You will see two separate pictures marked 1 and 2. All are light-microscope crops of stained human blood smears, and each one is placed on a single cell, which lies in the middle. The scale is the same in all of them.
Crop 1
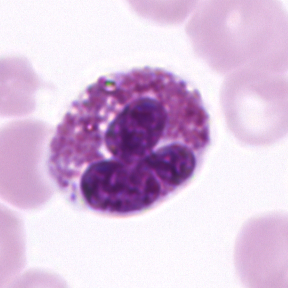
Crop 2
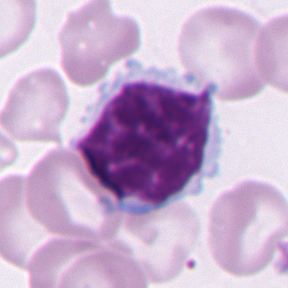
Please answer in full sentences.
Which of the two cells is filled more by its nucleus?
Of the two, the nucleus in crop 2 makes up the greater part of its cell.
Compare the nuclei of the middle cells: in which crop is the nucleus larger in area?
Crop 2 shows the larger nucleus; it covers about 1.5 times the area of the nucleus in crop 1.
